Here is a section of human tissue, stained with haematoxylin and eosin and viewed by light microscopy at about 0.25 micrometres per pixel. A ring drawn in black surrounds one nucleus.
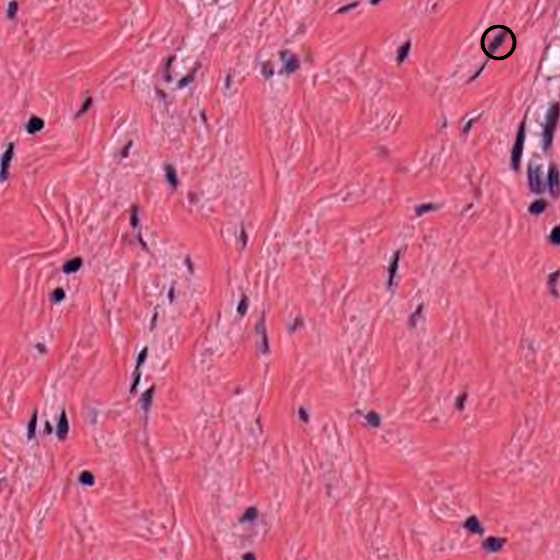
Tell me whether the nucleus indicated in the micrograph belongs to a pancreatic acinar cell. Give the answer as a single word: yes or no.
no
